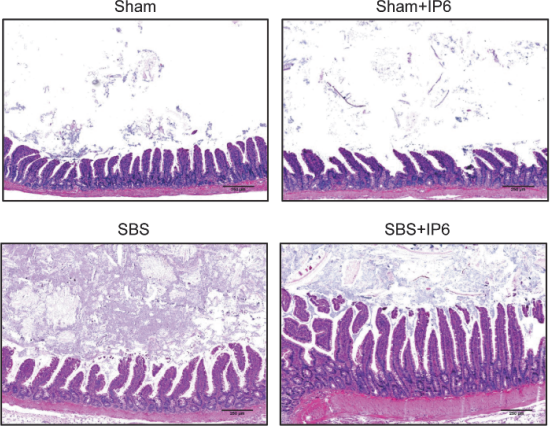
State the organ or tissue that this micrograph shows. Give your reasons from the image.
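Small intestine. Mucosa forms villi lined by epithelium with purple nuclei. Crypts sit between the villus bases above a pink muscle layer. Pale material fills the lumen above the villi.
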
